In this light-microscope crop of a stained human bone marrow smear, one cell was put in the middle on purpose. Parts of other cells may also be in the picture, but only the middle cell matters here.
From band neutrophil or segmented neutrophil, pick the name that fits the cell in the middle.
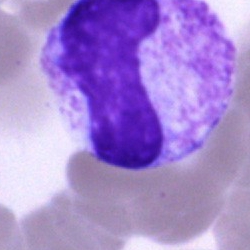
band neutrophil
